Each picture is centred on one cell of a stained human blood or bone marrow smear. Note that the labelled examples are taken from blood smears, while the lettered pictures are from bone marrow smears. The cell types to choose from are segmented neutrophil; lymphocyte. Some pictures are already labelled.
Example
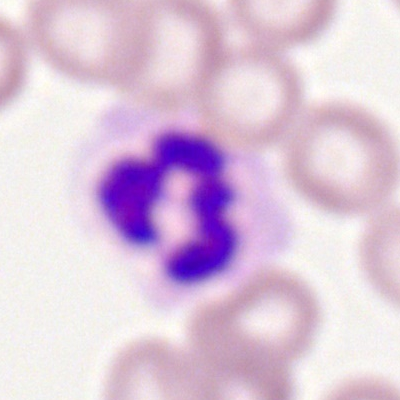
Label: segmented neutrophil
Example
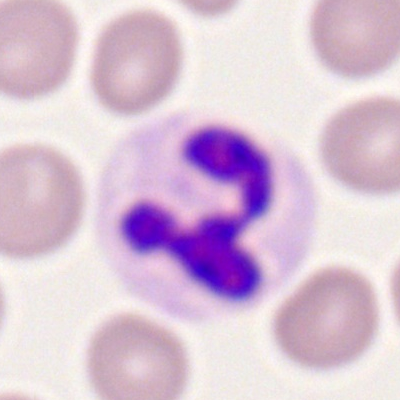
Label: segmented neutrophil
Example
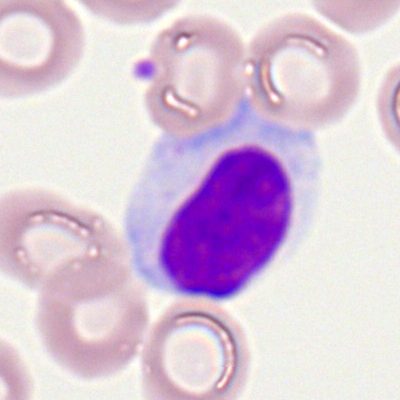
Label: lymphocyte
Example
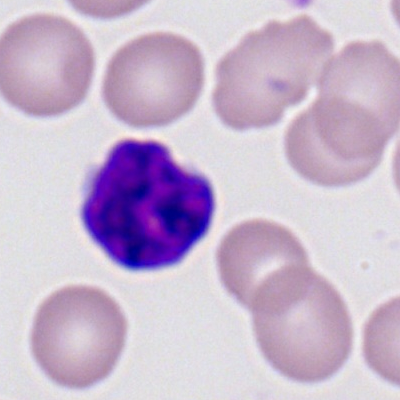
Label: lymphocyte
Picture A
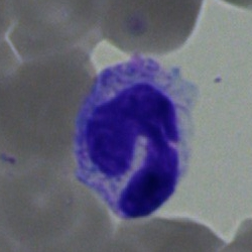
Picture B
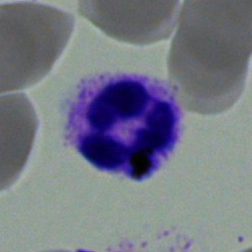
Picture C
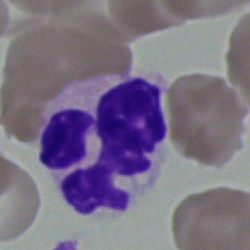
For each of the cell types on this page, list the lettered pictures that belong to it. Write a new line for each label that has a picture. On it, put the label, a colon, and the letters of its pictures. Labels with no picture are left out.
segmented neutrophil: A, B, C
